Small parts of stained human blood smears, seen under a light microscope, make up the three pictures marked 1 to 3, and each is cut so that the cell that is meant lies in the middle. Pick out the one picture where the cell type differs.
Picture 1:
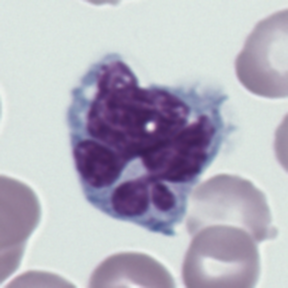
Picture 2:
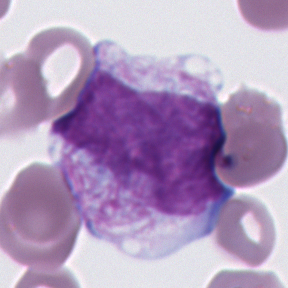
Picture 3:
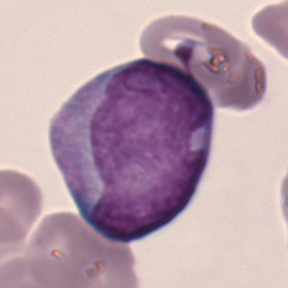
1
